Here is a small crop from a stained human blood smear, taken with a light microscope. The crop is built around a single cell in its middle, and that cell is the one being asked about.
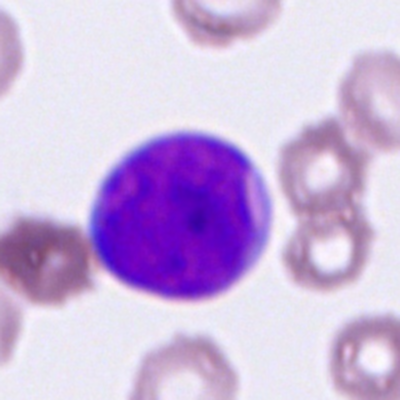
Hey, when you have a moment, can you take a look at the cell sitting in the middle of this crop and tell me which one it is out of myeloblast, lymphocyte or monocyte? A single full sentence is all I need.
The cell nearest the centre of this crop is a myeloblast.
